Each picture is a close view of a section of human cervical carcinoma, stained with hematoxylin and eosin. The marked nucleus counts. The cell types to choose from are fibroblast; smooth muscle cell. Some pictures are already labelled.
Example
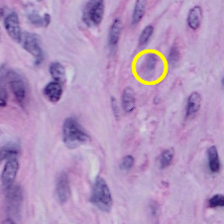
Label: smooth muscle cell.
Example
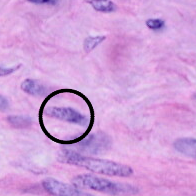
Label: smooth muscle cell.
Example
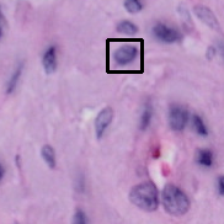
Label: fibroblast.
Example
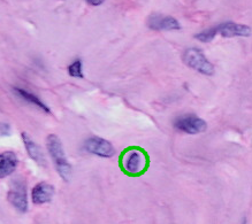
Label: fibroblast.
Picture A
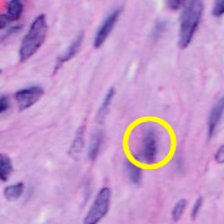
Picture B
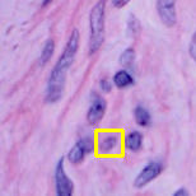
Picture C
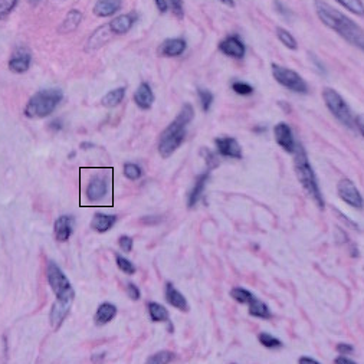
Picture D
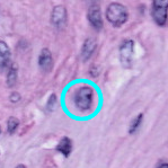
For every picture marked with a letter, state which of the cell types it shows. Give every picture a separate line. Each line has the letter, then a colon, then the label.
A: fibroblast.
B: smooth muscle cell.
C: smooth muscle cell.
D: smooth muscle cell.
